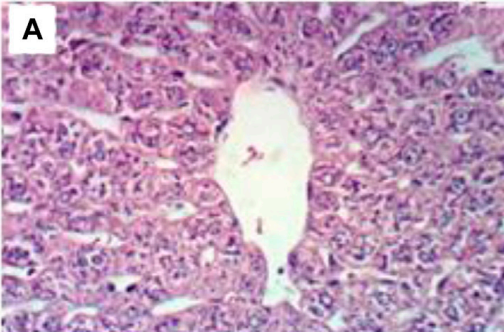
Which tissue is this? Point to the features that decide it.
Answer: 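A central vein lies in the middle of the field. Cords of polygonal cells with round central nuclei radiate around the vein. Narrow sinusoidal spaces separate the cords.
Answer: hepatic lobule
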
